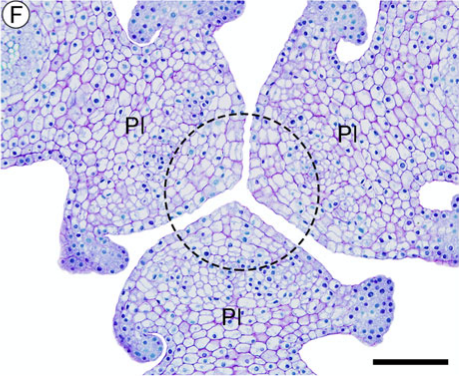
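This transverse section shows three placentae meeting at the centre of the ovary, built of purple-stained, polygonal parenchyma-like cells with visible nuclei. Further out, the cells are larger and more irregular. Each placenta ends laterally in curved lobes of small, dense cells.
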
